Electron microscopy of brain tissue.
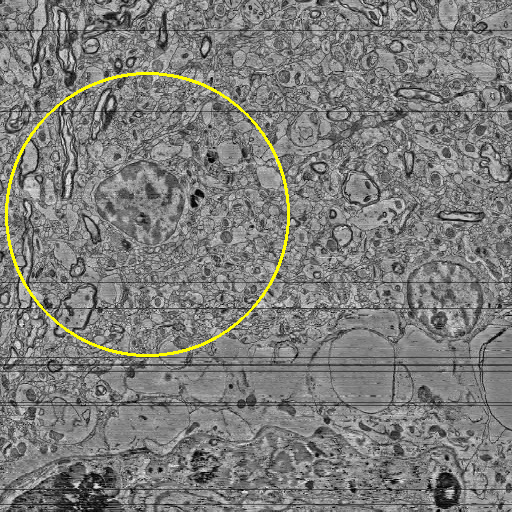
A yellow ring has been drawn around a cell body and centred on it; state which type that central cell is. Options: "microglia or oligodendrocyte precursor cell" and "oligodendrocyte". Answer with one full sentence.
The cell at the middle of the yellow ring is a microglial cell or oligodendrocyte precursor cell in this picture.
